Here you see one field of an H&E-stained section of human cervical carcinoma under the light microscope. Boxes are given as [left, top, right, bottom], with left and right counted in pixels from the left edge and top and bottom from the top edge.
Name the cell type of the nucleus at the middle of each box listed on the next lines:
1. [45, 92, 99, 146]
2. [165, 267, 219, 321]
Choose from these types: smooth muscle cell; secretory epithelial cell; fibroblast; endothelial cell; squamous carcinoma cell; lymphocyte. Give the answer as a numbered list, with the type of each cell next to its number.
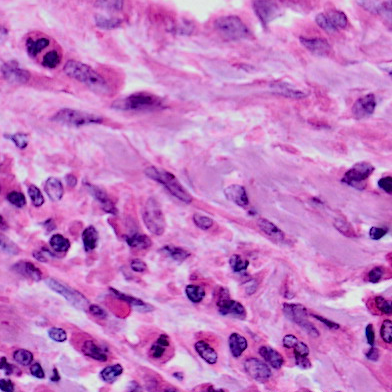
1. fibroblast
2. lymphocyte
